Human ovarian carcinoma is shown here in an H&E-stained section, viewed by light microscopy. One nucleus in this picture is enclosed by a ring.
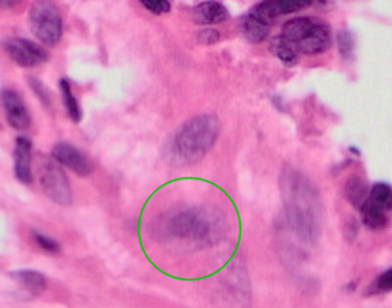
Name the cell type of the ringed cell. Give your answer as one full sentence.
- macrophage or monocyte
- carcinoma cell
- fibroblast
In this preparation, the ringed cell is a fibroblast.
